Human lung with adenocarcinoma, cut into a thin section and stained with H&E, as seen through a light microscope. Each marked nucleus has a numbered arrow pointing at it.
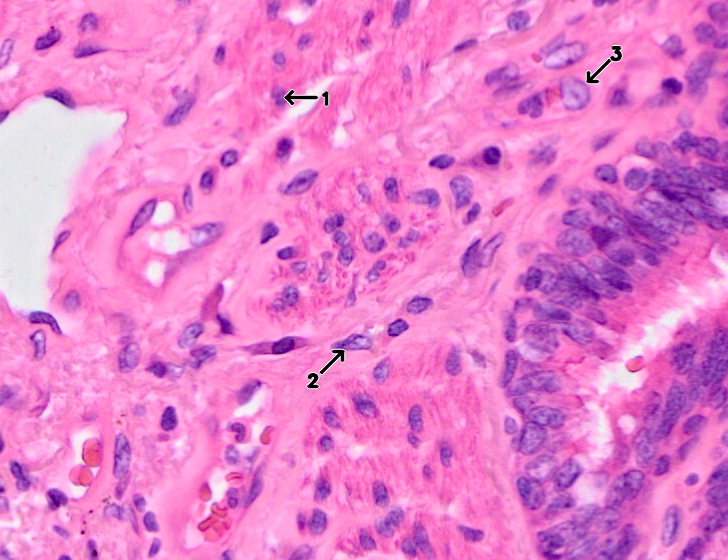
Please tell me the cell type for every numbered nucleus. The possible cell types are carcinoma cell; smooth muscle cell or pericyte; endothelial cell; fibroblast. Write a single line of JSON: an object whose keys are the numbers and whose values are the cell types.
{"1": "smooth muscle cell or pericyte", "2": "fibroblast", "3": "endothelial cell"}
